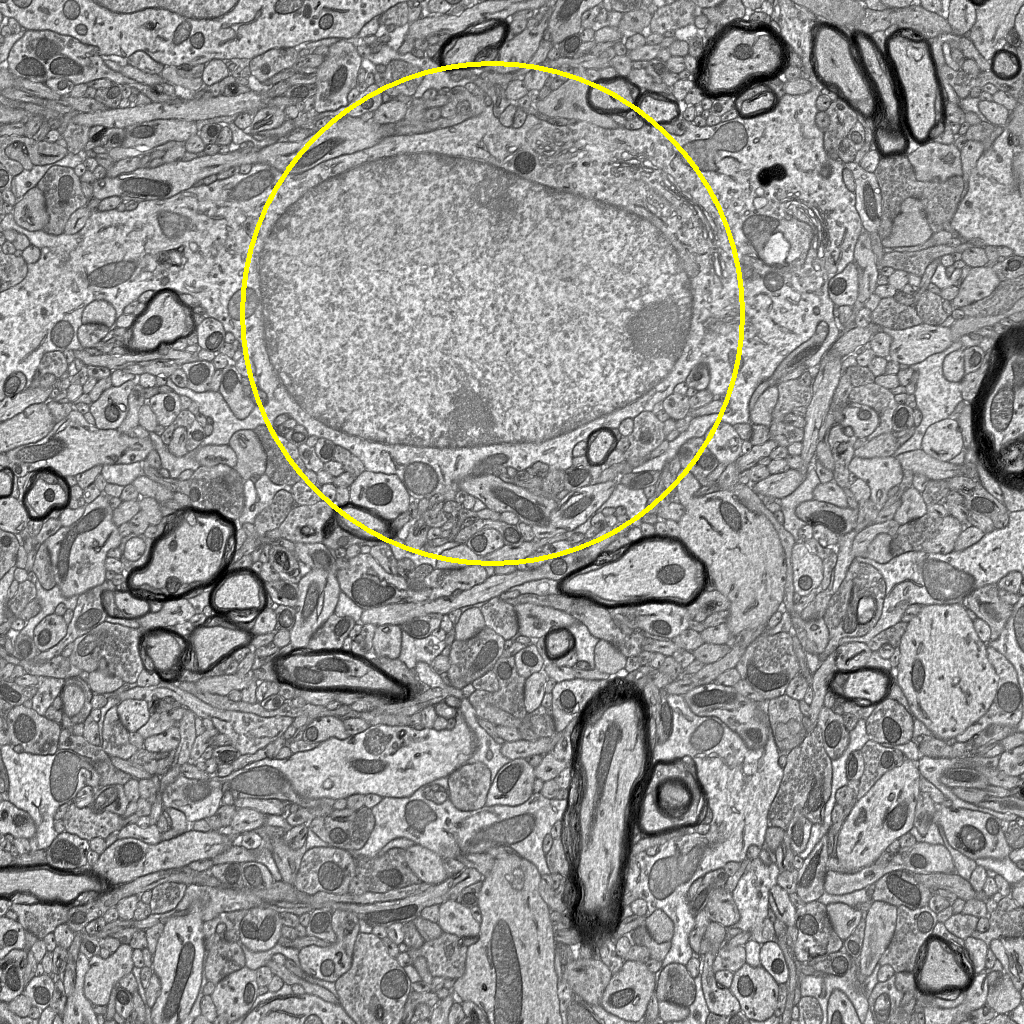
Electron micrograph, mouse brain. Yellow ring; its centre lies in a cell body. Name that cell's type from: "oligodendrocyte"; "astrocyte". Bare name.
astrocyte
